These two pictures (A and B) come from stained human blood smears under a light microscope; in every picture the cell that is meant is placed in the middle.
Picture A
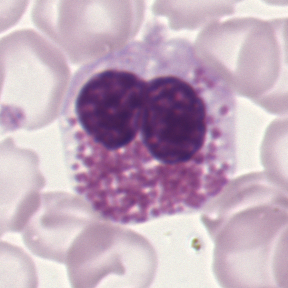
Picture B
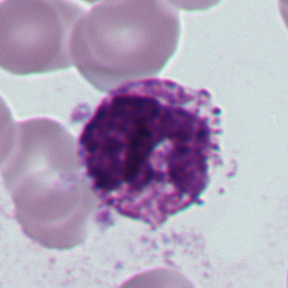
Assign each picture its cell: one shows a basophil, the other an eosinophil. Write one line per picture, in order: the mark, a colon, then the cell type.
A: eosinophil
B: basophil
